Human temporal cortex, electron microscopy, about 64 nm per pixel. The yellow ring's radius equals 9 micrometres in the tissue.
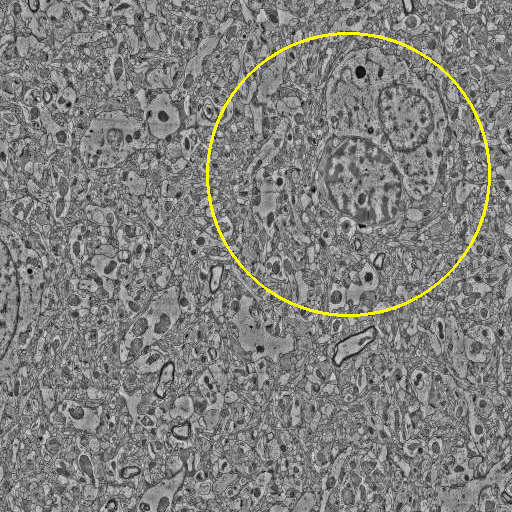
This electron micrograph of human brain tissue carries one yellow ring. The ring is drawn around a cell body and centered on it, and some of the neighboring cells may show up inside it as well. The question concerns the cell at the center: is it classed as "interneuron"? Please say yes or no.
No, it is classed as another kind.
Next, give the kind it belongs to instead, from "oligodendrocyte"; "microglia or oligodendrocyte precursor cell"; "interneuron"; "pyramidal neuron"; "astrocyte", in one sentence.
Instead, the picture shows an oligodendrocyte at the centre of the ring.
